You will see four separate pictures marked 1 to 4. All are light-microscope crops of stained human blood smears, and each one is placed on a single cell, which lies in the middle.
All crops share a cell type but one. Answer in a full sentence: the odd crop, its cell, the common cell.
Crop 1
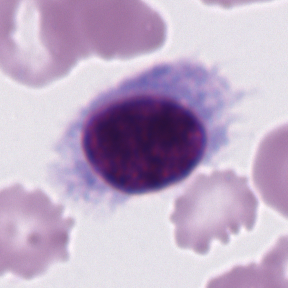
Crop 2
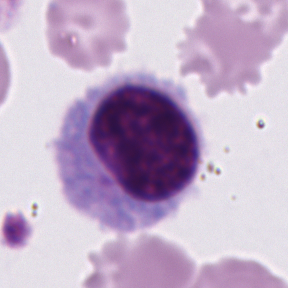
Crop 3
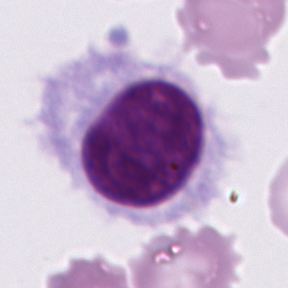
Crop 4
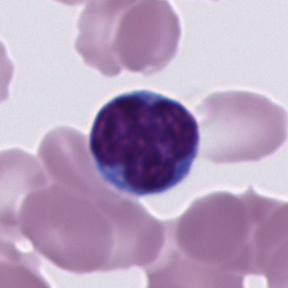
Crop 4 alone shows a typical lymphocyte; the other crops are all hairy cells.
